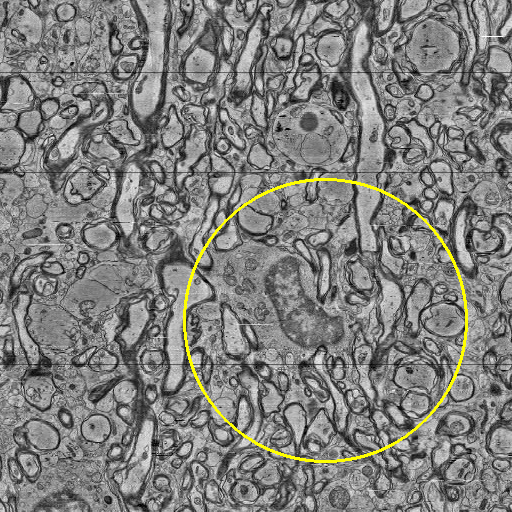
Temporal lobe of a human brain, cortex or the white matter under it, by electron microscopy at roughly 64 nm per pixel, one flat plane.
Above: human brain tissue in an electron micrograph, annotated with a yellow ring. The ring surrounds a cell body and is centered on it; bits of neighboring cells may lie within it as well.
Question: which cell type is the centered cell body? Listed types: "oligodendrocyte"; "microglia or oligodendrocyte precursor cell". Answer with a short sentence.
The centered cell body is an oligodendrocyte.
